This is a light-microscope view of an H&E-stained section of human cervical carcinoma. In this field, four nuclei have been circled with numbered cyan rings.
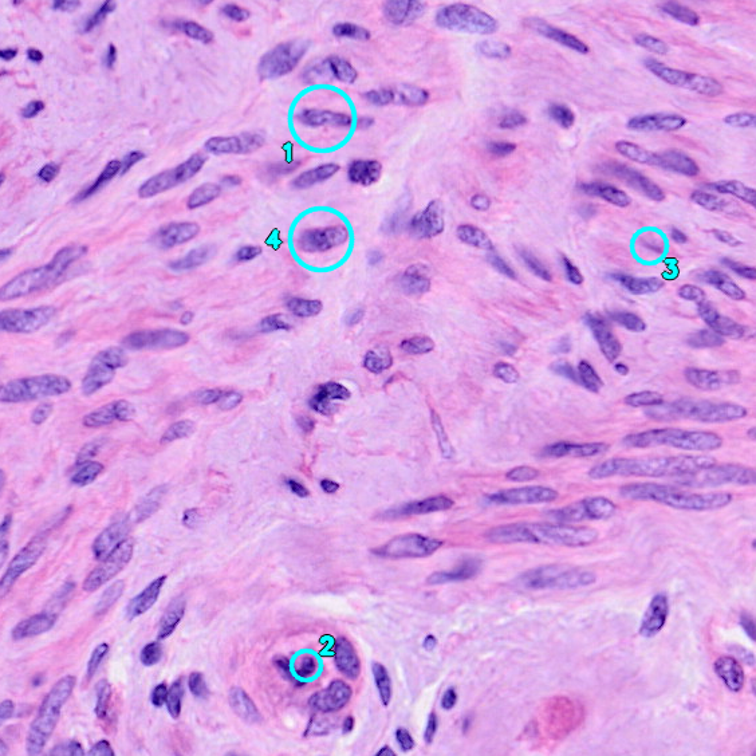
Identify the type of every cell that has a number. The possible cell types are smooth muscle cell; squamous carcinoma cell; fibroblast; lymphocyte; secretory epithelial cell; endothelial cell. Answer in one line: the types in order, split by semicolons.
smooth muscle cell; endothelial cell; smooth muscle cell; smooth muscle cell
